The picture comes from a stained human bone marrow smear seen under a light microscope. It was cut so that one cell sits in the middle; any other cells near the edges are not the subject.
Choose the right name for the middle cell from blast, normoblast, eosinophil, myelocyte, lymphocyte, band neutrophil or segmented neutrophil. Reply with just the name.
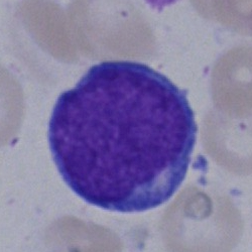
blast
